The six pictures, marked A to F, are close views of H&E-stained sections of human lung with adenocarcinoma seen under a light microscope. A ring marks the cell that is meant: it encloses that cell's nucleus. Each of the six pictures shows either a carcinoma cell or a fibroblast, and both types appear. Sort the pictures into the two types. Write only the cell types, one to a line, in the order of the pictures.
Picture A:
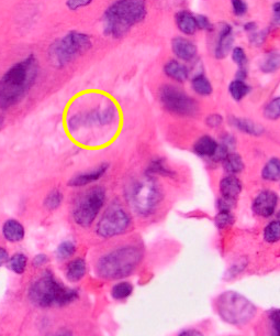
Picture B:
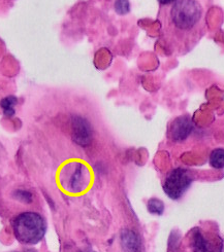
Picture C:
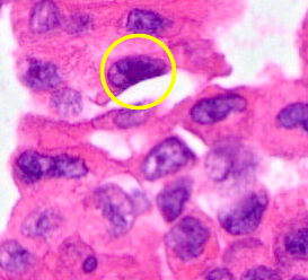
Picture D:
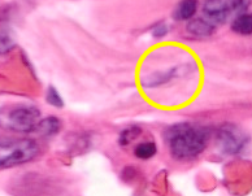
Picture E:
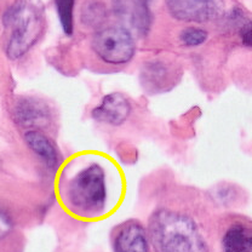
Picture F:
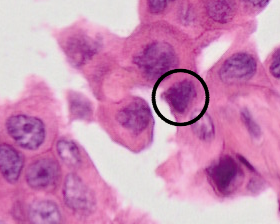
fibroblast
fibroblast
carcinoma cell
fibroblast
carcinoma cell
carcinoma cell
